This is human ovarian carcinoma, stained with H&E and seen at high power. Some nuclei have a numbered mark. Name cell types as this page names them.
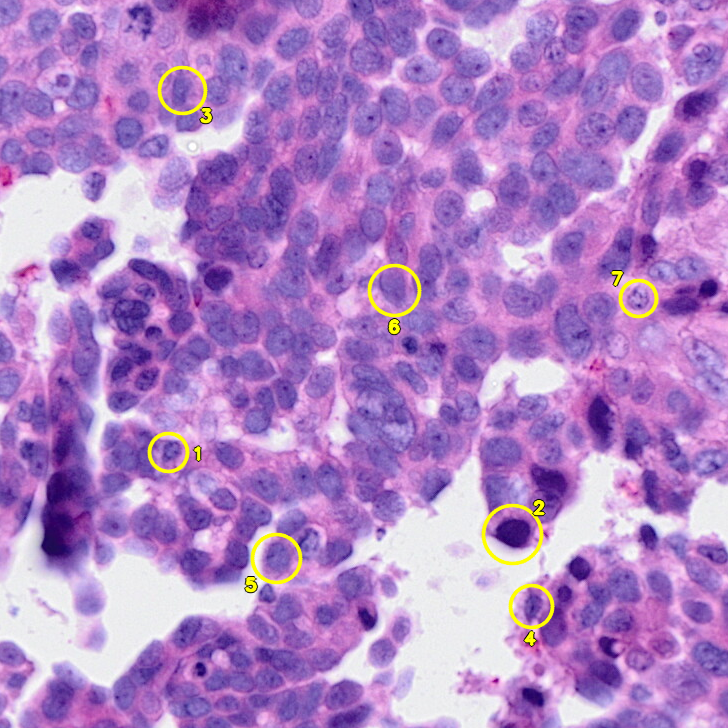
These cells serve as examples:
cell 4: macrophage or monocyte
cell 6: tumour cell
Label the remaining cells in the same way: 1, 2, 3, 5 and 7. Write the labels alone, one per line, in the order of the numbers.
macrophage or monocyte
tumour cell
tumour cell
tumour cell
macrophage or monocyte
